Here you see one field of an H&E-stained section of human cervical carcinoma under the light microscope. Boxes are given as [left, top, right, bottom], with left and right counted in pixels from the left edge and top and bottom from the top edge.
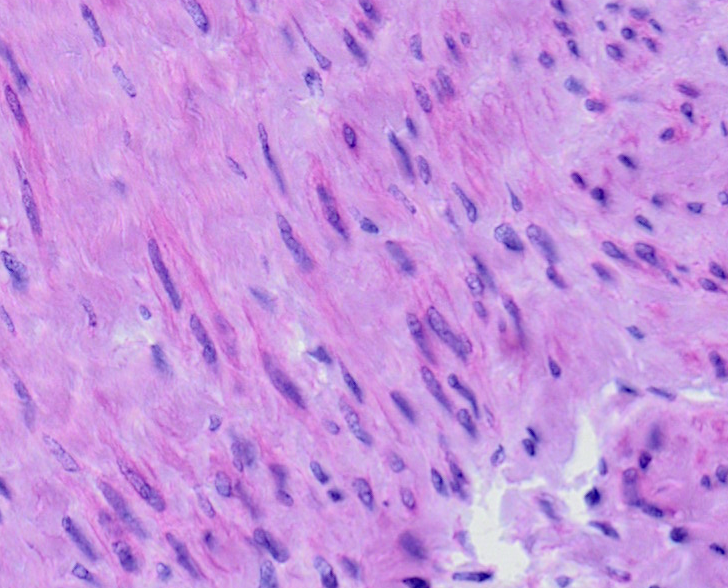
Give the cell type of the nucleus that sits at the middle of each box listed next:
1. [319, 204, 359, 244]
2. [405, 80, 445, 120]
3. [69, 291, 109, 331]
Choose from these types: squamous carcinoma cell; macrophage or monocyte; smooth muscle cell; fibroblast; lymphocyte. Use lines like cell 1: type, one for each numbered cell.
cell 1: smooth muscle cell
cell 2: smooth muscle cell
cell 3: fibroblast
